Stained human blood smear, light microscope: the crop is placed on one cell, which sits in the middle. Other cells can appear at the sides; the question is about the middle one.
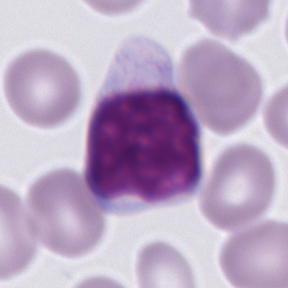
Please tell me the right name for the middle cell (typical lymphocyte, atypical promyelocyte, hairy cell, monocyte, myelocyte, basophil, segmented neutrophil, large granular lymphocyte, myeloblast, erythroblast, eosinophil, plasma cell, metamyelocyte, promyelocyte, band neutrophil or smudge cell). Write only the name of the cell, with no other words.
large granular lymphocyte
